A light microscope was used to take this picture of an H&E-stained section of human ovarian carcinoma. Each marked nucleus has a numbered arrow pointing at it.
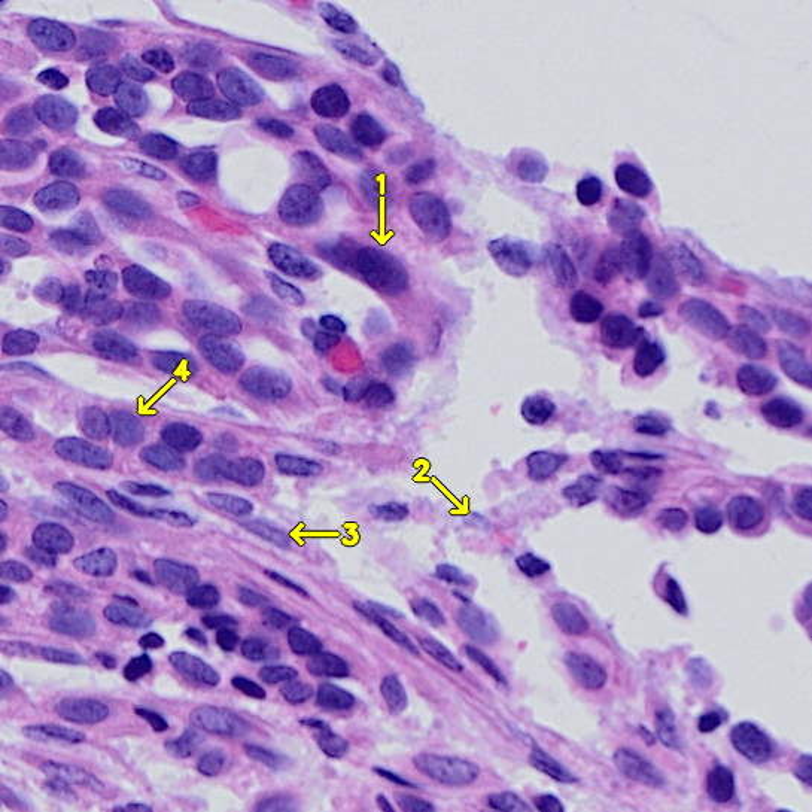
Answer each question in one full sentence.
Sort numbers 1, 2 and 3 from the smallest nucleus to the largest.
The order from the smallest nucleus to the largest is 2, 3, 1.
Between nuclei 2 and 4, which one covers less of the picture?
Nucleus 2 covers less area, with nucleus 4 about 2.5 times as large.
